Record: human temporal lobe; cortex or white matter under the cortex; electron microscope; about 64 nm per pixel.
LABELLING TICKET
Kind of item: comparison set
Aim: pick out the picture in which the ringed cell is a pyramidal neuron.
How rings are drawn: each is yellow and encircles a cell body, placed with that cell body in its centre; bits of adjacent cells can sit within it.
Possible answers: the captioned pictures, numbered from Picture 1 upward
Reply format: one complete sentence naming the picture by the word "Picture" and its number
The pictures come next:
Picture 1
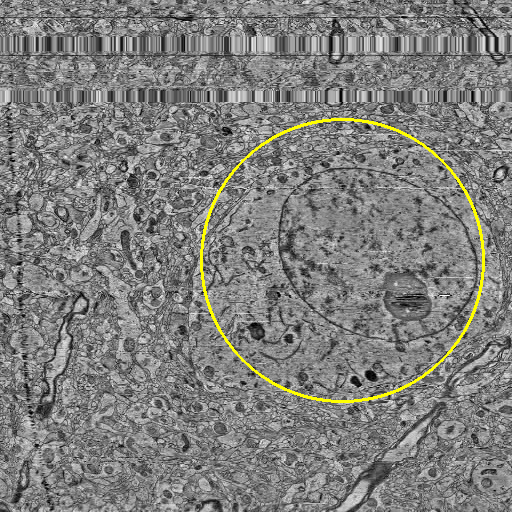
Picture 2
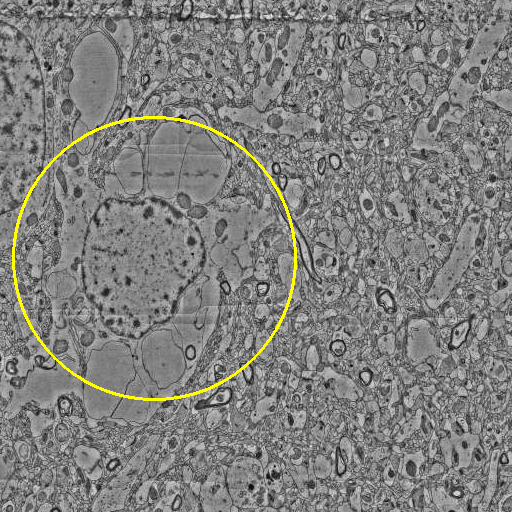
The cell centred inside the yellow ring in Picture 1 is the requested one.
